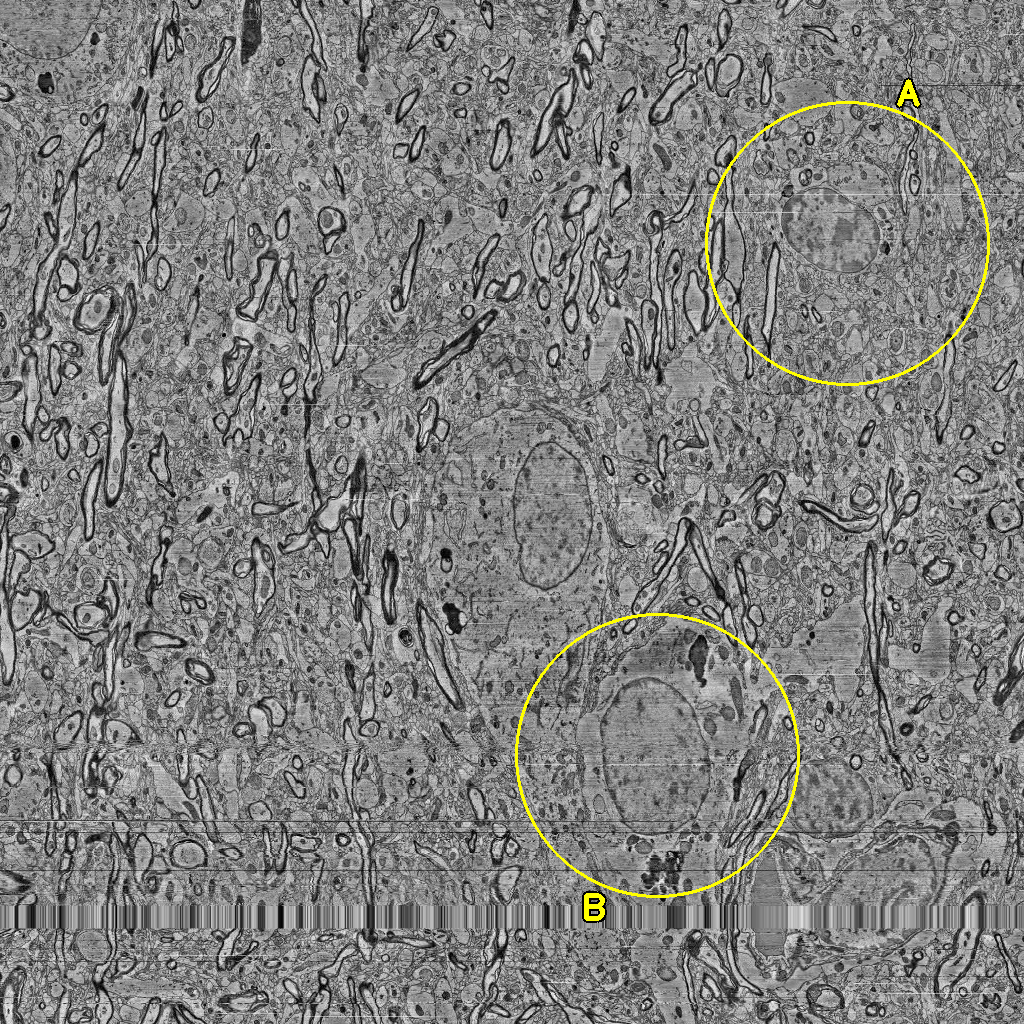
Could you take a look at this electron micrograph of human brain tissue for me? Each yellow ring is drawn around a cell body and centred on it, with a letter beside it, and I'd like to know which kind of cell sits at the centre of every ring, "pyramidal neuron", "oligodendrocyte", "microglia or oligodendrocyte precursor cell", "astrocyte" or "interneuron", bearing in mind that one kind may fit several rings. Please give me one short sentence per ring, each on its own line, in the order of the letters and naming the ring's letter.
Ring A is centred on a microglial cell or oligodendrocyte precursor cell.
Ring B is centred on an astrocyte.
